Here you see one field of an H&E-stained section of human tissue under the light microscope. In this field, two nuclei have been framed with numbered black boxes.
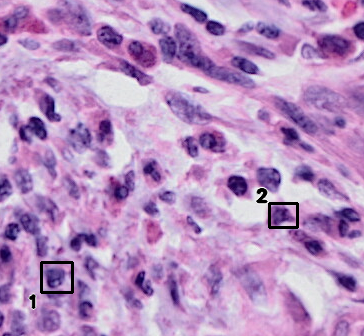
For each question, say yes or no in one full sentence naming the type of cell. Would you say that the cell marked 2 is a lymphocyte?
No, number 2 identifies a macrophage or monocyte, not a lymphocyte.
